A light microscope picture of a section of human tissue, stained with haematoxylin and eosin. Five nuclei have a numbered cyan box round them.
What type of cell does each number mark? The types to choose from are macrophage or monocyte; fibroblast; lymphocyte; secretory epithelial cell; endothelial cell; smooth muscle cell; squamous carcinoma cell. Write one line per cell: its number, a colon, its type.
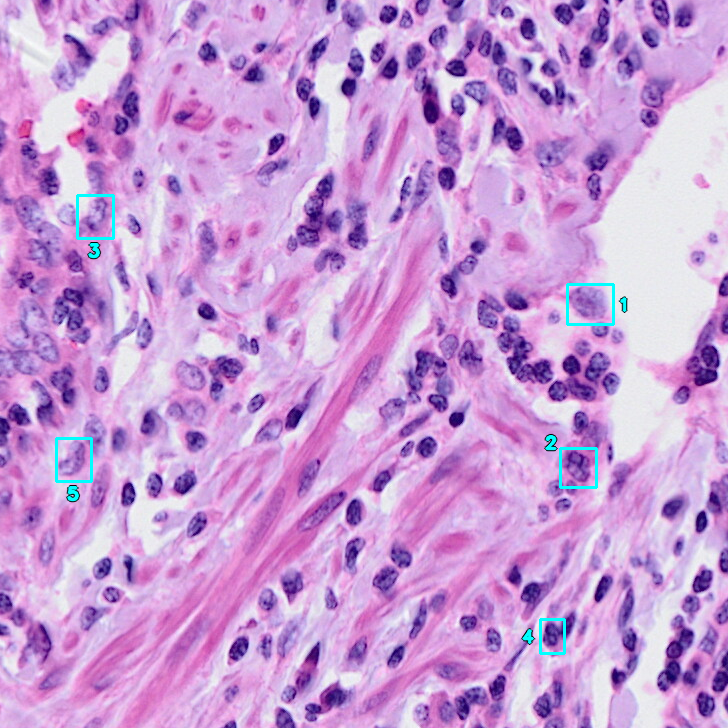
1: endothelial cell
2: macrophage or monocyte
3: endothelial cell
4: lymphocyte
5: macrophage or monocyte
